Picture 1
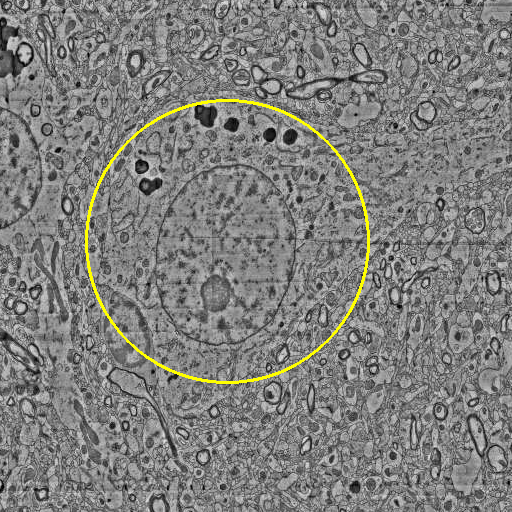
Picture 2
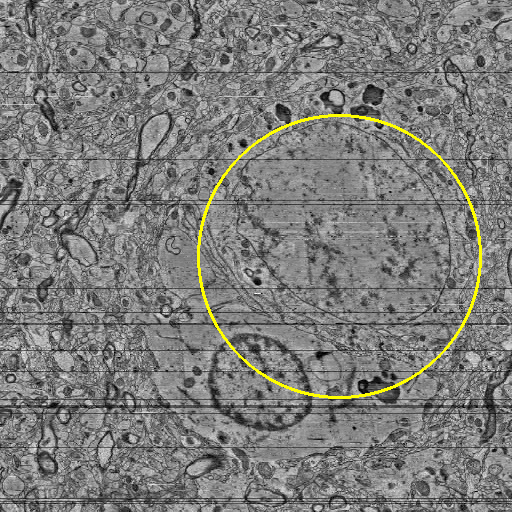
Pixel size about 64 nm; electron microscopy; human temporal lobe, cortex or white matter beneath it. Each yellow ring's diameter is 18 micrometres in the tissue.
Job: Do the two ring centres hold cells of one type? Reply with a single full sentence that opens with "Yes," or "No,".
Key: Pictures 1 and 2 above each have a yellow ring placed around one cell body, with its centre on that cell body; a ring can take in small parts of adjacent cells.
Yes, the cells at the two ring centres are of one single type.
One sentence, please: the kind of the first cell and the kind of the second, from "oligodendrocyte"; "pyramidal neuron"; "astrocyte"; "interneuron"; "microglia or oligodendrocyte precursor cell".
Both the first and the second picture show a pyramidal neuron in the ring.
